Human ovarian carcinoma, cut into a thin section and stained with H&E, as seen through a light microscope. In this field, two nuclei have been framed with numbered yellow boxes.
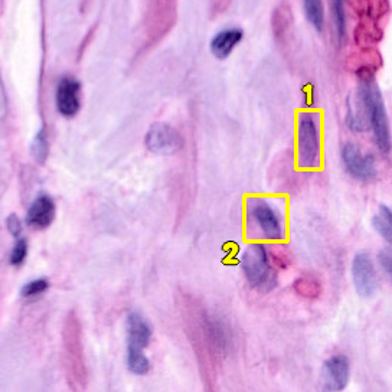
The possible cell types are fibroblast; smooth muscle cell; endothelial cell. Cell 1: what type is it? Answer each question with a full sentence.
The numbered cell 1 is identified here as a smooth muscle cell.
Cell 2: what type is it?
The cell identified by the number 2 is an endothelial cell.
